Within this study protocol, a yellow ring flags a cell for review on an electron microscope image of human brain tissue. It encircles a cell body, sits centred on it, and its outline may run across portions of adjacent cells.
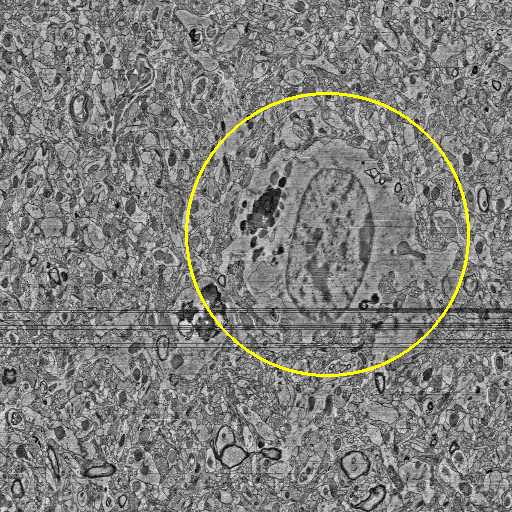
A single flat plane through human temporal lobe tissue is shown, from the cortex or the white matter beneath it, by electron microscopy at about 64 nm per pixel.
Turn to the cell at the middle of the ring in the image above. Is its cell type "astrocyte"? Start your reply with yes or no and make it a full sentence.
Yes, the cell at the ring's centre in the image above has that cell type.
